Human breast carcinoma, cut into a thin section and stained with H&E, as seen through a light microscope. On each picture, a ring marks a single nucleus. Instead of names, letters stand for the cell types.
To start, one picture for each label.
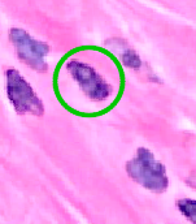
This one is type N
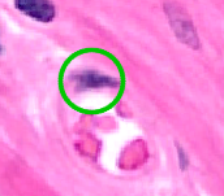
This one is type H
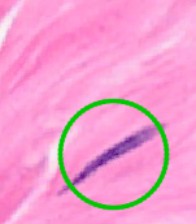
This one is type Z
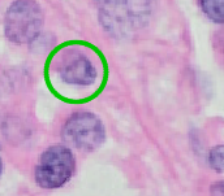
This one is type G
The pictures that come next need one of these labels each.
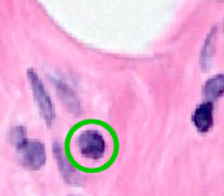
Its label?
type N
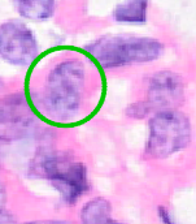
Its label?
type G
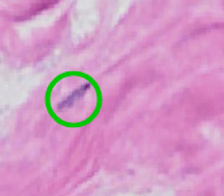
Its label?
type Z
